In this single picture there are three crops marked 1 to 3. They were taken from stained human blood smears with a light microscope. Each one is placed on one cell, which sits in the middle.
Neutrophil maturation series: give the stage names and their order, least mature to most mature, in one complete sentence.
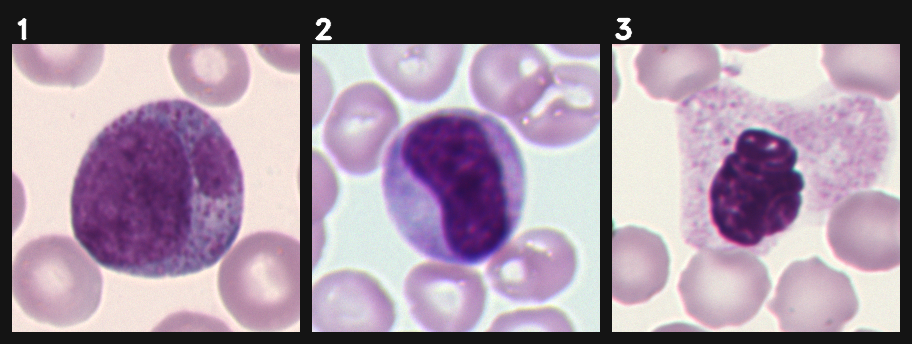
What results from ordering by maturity, least to most, is crop 1 (a promyelocyte), crop 2 (a metamyelocyte) and crop 3 (a segmented neutrophil).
